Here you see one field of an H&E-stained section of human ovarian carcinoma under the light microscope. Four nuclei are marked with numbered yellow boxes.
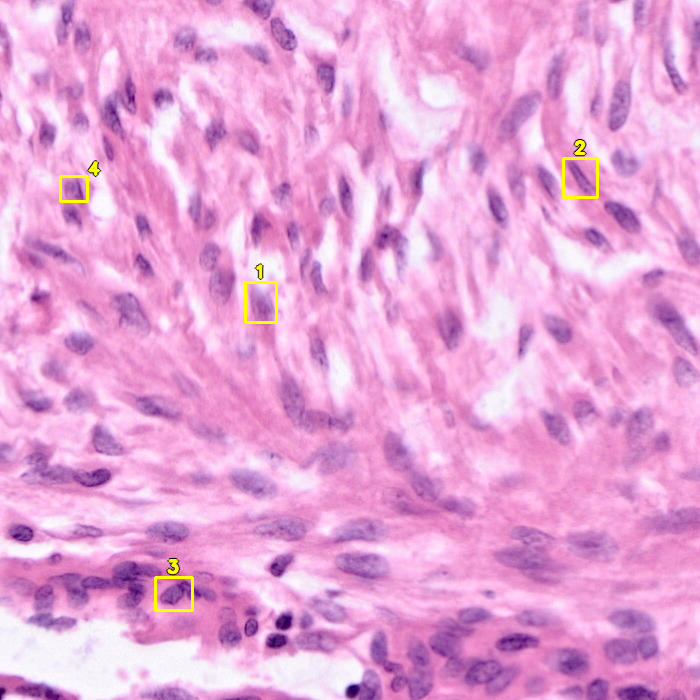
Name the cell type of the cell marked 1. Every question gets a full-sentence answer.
The cell marked with the number 1 is a fibroblast.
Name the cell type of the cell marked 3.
Here the cell numbered 3 is an endothelial cell.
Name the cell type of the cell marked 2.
The nucleus with number 2 is that of a fibroblast.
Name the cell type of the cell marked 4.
That cell with number 4 is a fibroblast.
